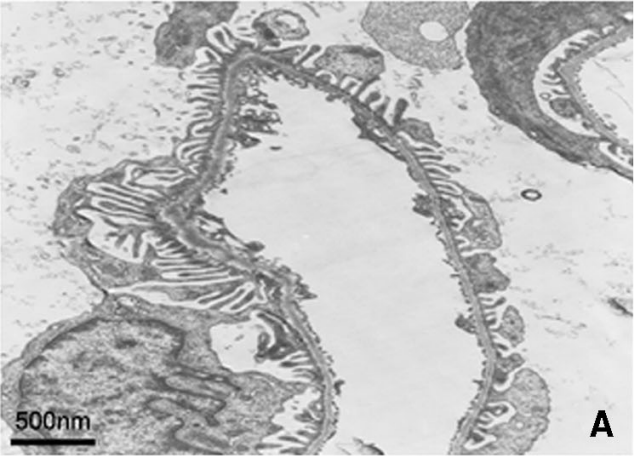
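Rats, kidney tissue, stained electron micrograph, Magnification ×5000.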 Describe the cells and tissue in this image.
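A large empty capillary lumen runs through the image, bounded by a thin, even, grey basement membrane lined on its inside by a very thin endothelial layer. On the outer side of the membrane sit many small, regularly spaced foot processes separated by narrow slits, arising from podocytes whose cell bodies bulge into the surrounding pale urinary space. A nucleus with finely granular chromatin lies at the lower left. This is a capillary loop of a glomerulus with its filtration barrier of endothelium, basement membrane and podocyte foot processes.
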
